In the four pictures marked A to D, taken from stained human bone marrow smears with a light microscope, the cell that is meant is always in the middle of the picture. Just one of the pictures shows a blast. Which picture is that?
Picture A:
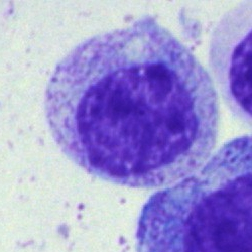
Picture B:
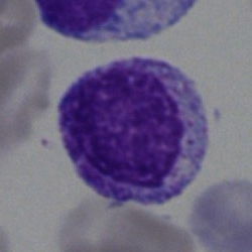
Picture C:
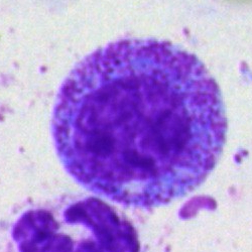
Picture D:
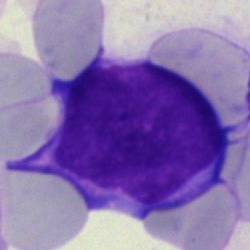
D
